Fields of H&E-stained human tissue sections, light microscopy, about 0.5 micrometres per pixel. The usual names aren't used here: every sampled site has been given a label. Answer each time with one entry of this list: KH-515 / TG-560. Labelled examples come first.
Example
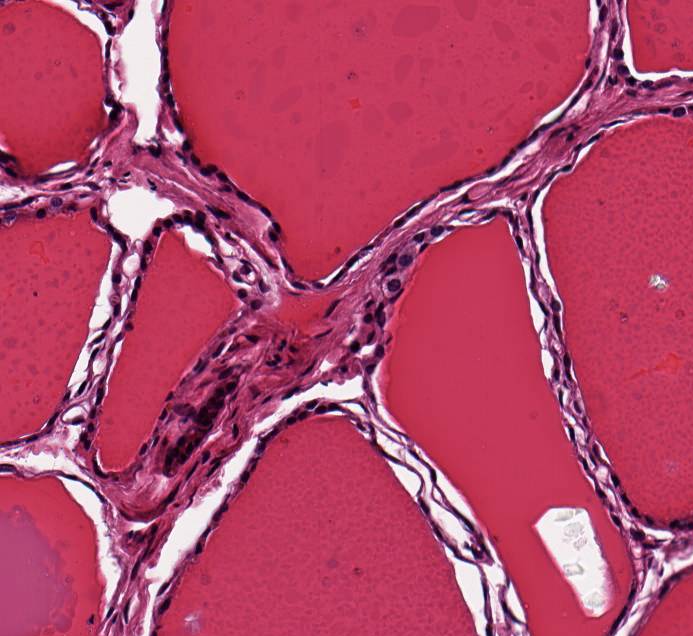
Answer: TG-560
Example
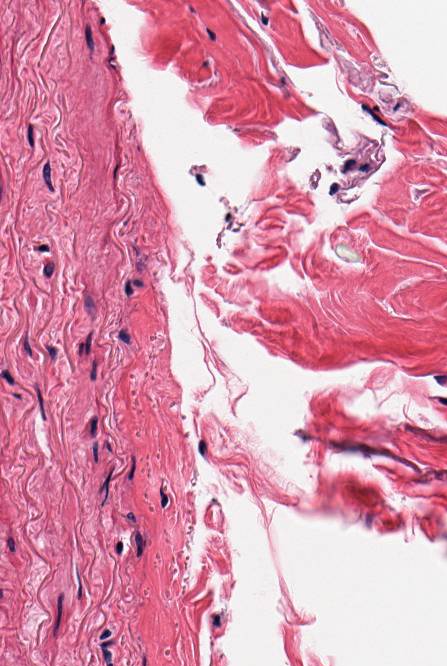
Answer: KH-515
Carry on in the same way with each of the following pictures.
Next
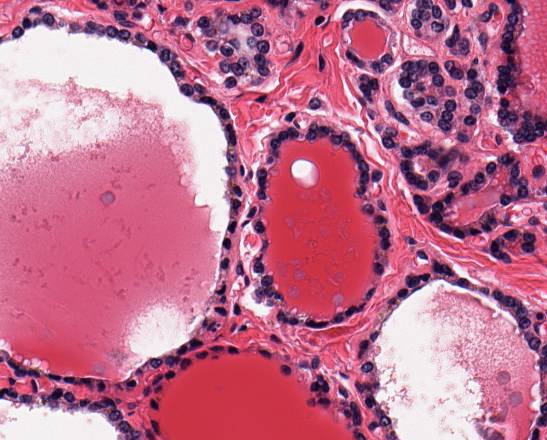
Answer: TG-560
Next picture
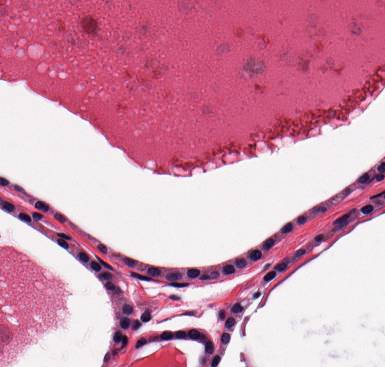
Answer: TG-560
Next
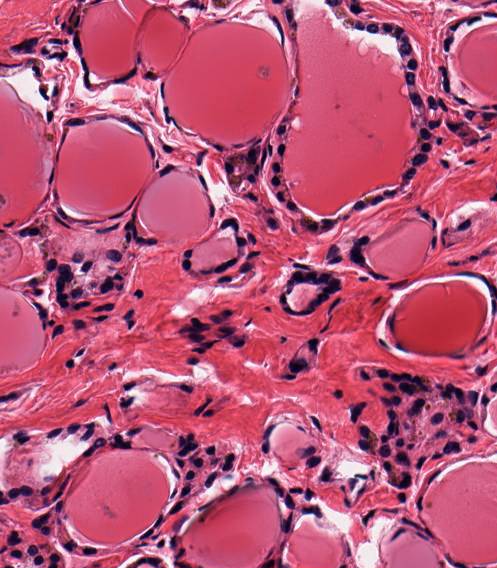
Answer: TG-560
